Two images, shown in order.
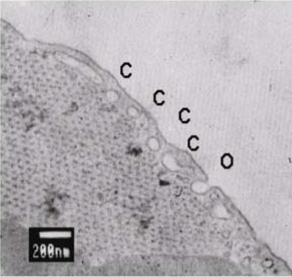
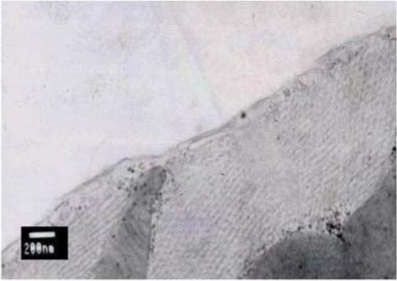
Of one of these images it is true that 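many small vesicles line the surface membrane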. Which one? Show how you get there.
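Second image: the surface membrane runs smooth with hardly any vesicles beneath it. First image: a row of small round pale vesicles lies along and just under the surface membrane. So: the first image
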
